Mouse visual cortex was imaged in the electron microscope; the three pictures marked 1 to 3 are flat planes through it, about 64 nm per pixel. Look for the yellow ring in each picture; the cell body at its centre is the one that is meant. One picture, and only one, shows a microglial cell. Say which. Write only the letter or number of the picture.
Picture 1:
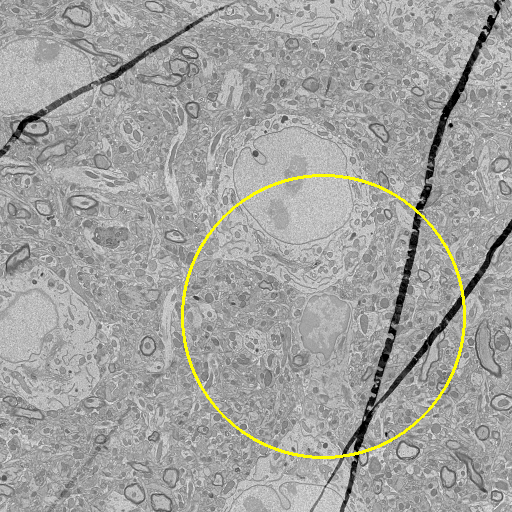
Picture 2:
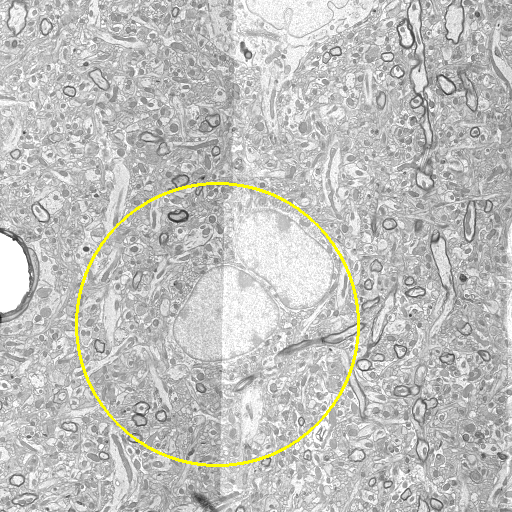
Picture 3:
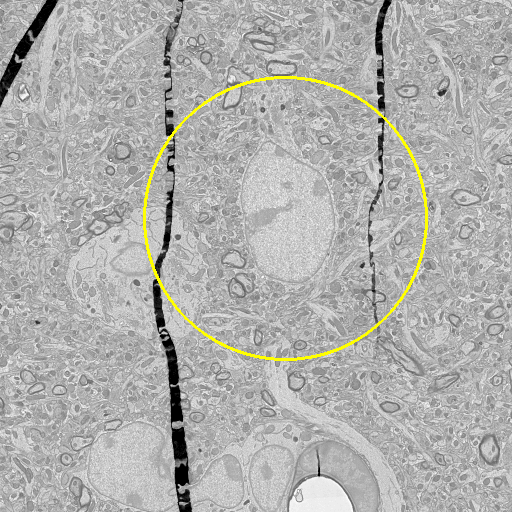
1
